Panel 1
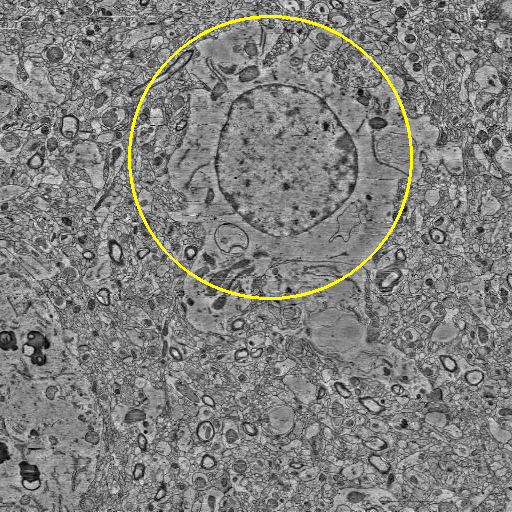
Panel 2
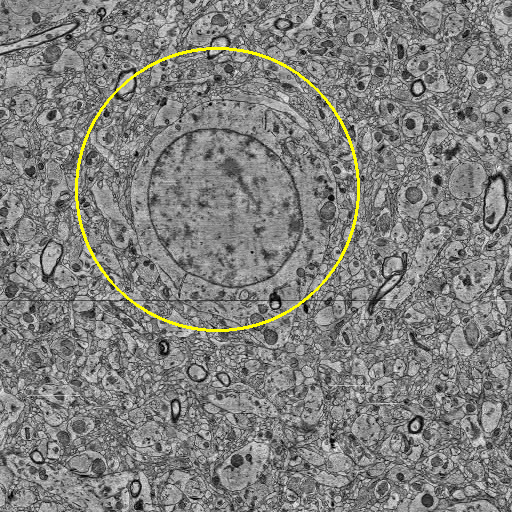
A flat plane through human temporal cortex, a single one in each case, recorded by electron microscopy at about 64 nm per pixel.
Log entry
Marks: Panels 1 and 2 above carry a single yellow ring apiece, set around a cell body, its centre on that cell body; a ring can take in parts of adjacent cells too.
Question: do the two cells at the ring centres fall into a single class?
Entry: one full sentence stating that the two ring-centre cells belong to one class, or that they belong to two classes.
The two ring-centre cells in Panels 1 and 2 belong to two classes.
